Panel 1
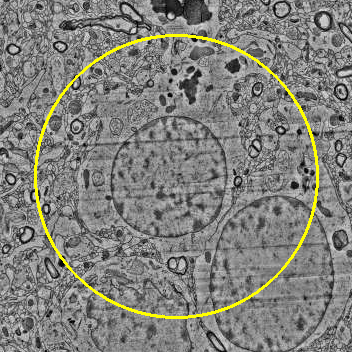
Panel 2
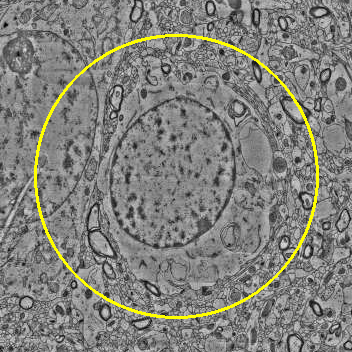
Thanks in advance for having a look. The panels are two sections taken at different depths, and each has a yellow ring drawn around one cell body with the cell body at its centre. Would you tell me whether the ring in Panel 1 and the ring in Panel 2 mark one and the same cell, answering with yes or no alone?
no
